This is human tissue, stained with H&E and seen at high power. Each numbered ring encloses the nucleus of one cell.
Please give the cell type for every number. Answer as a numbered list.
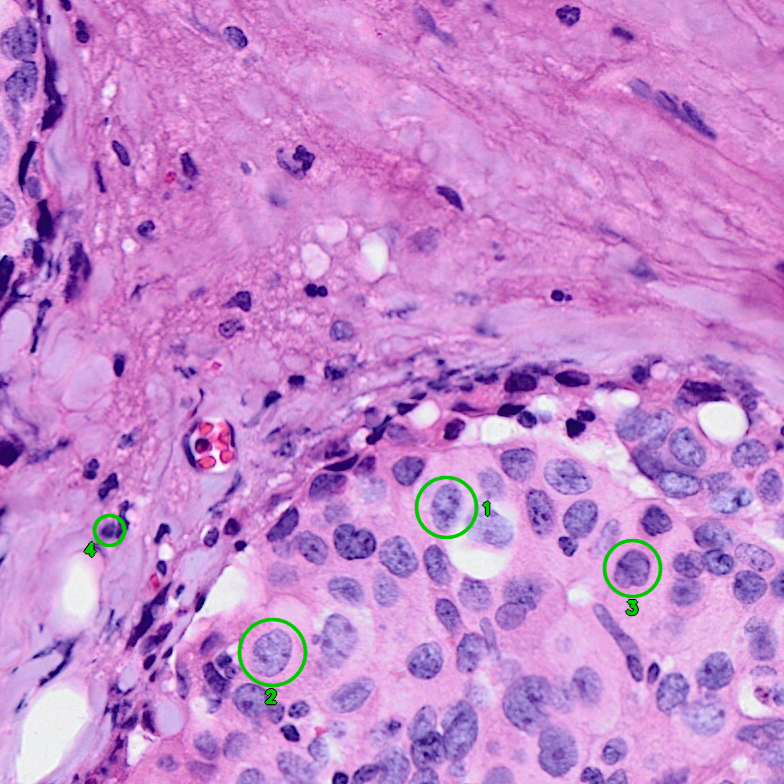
1. carcinoma cell
2. carcinoma cell
3. carcinoma cell
4. lymphocyte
